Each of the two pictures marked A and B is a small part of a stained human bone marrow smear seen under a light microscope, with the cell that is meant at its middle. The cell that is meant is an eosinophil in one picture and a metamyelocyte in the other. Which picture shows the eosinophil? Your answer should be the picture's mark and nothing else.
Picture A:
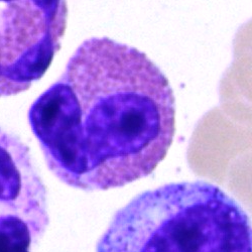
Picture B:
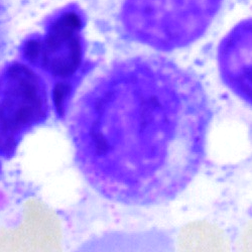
A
